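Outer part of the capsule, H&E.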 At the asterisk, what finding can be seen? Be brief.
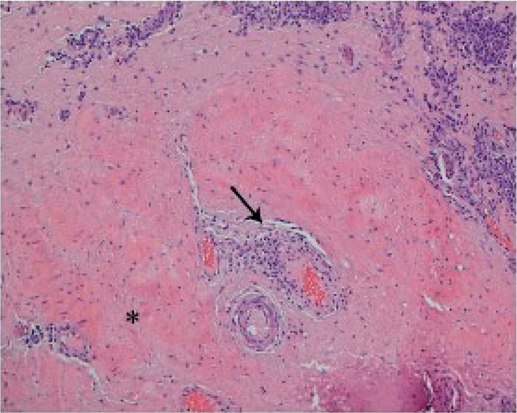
Dense, thick collagen deposition.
